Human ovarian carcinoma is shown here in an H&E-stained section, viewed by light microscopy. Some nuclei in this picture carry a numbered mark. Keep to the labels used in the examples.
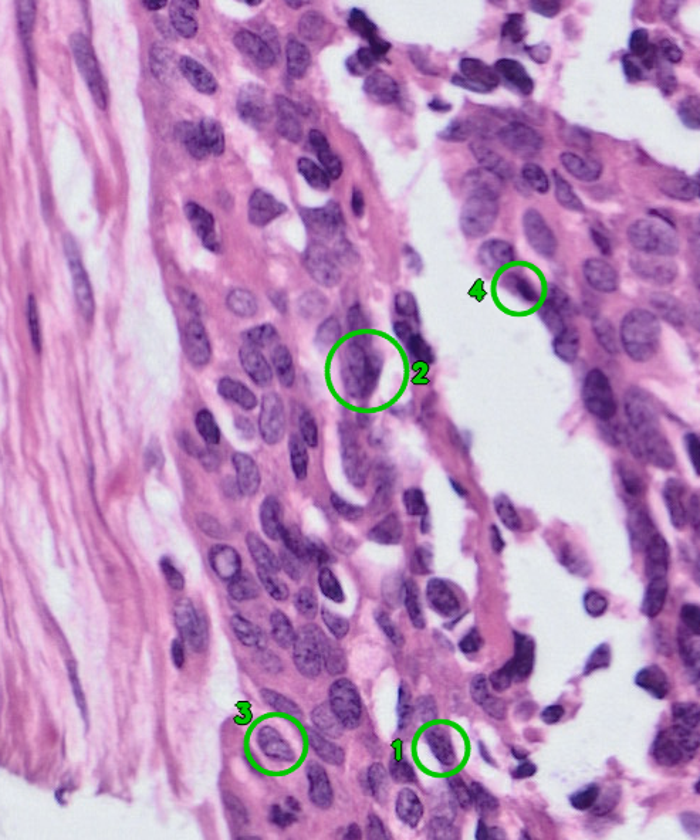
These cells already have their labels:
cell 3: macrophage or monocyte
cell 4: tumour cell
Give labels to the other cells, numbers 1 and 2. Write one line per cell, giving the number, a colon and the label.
1: tumour cell
2: tumour cell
